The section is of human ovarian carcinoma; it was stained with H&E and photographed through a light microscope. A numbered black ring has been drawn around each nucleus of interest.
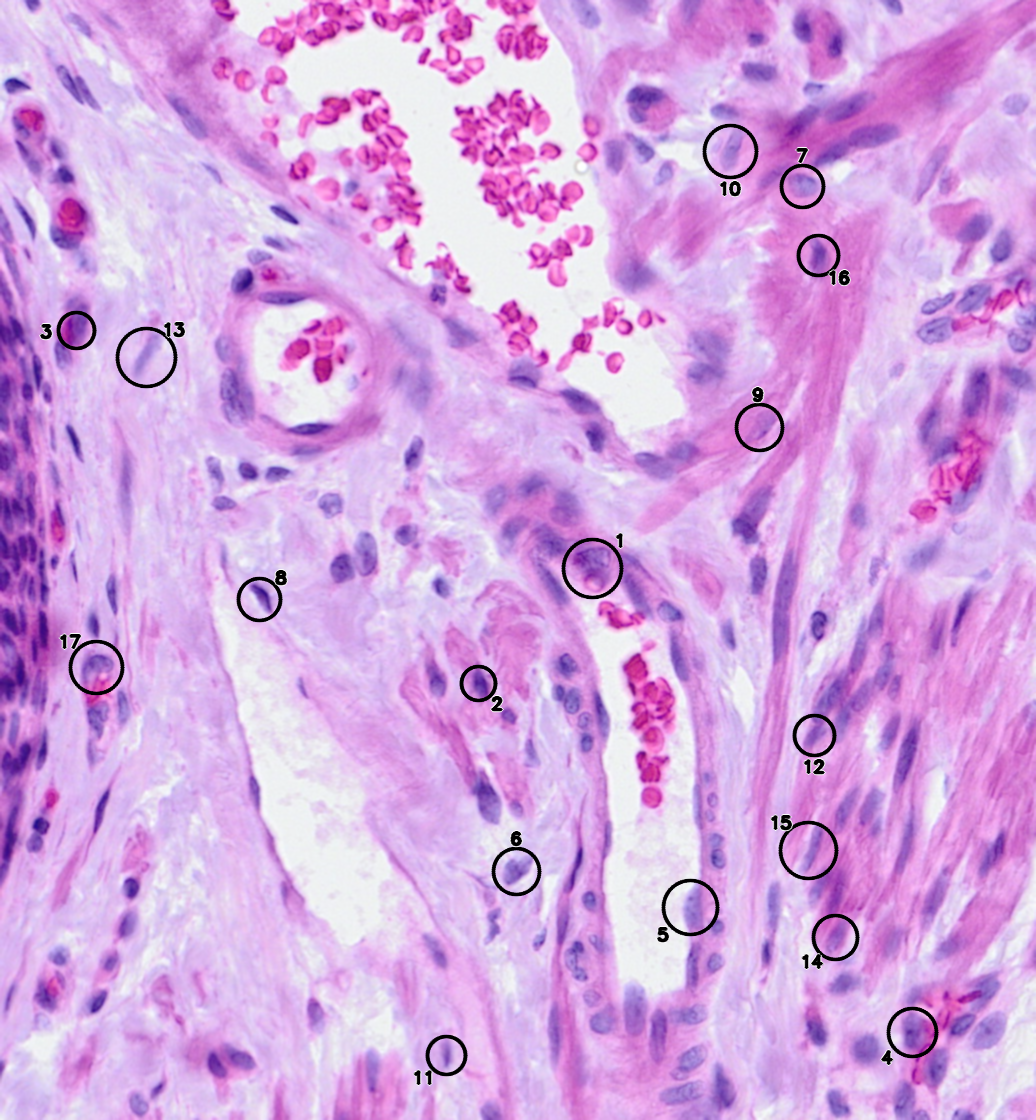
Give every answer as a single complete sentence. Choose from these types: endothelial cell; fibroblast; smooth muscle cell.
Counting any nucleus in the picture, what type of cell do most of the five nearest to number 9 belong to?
Around number 9, most of the five nearest nuclei are those of endothelial cells.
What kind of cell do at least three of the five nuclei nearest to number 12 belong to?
Smooth muscle cells account for more than half of the five nuclei nearest to number 12.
